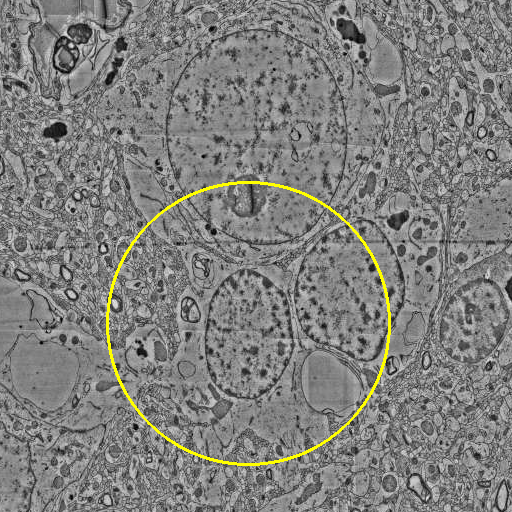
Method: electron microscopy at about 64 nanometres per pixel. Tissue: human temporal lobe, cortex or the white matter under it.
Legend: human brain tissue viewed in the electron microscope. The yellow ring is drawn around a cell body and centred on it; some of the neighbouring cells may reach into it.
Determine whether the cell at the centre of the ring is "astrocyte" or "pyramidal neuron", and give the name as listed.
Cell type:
astrocyte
